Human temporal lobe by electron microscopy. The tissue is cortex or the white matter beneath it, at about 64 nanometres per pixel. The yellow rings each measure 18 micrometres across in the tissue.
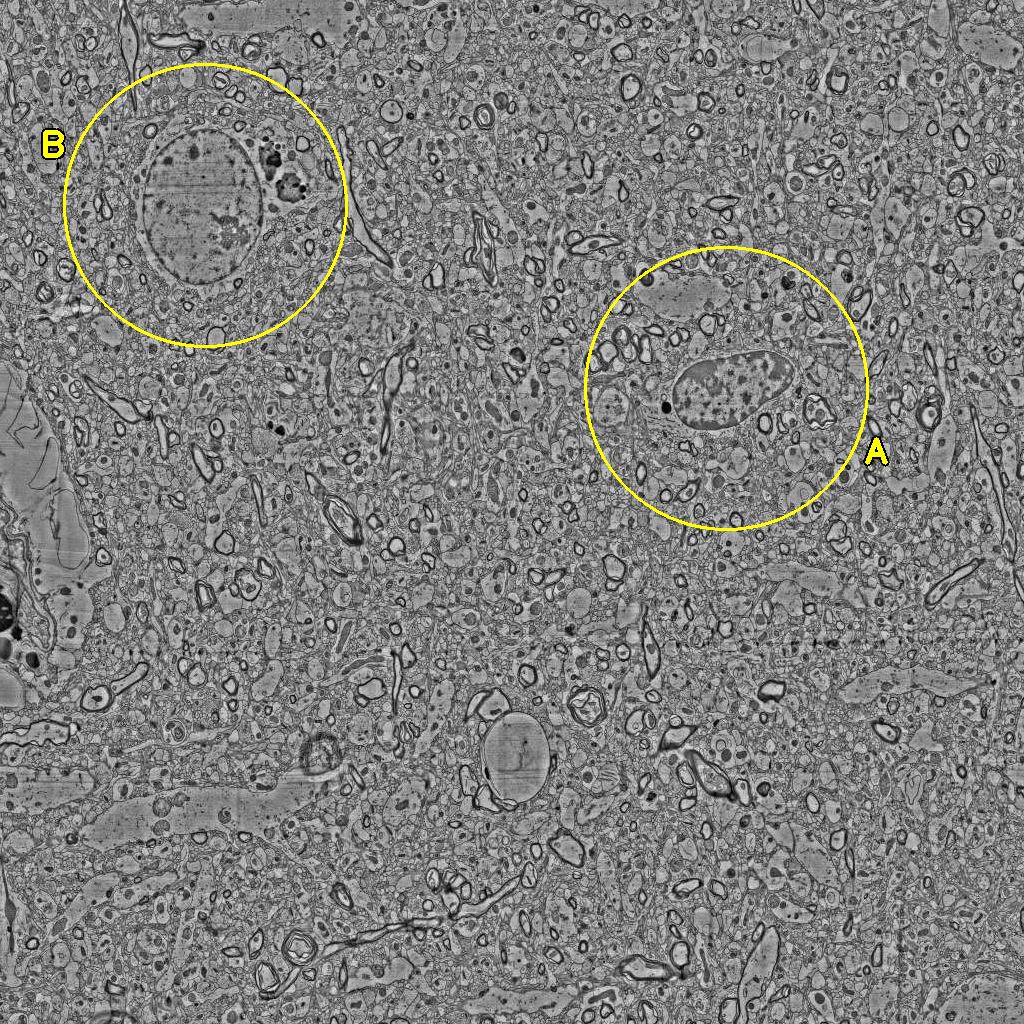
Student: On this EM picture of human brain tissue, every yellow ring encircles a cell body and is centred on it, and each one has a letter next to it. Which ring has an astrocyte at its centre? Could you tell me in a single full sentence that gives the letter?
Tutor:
Ring B is the one drawn around the cell you are asking about.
